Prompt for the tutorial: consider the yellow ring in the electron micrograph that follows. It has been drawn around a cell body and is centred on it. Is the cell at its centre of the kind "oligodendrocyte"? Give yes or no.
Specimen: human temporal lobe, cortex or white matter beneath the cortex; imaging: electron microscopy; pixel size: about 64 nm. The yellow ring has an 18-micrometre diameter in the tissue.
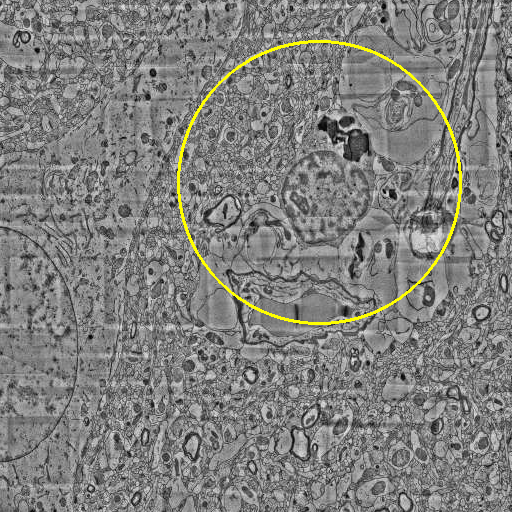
yes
